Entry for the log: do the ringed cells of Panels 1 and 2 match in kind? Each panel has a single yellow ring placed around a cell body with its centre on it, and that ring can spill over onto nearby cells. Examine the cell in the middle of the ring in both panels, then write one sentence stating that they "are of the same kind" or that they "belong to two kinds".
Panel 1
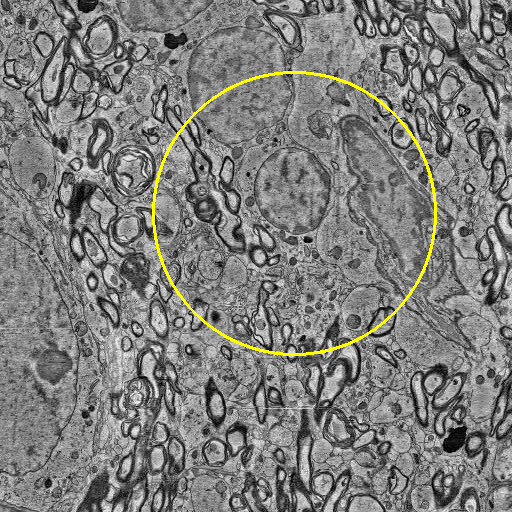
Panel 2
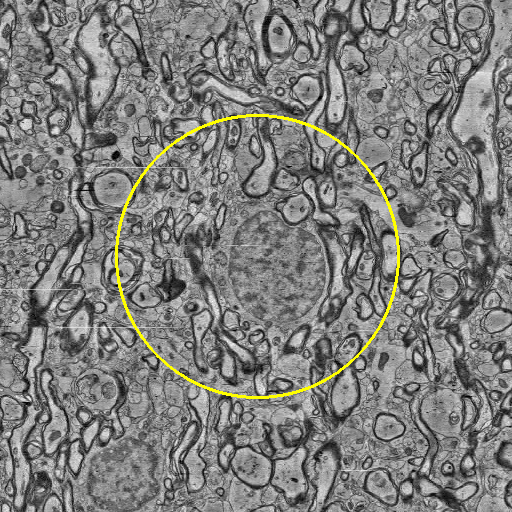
The centre cell of Panel 1's ring and that of Panel 2's ring belong to two kinds.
